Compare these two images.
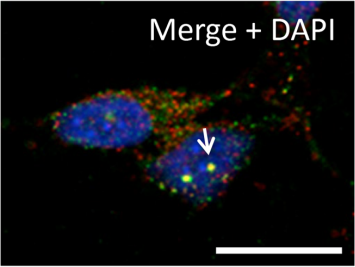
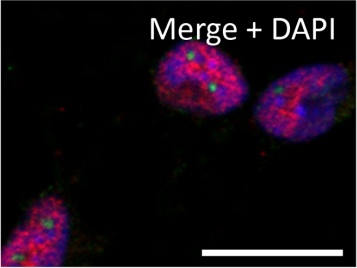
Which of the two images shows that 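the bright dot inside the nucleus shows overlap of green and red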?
The first image.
